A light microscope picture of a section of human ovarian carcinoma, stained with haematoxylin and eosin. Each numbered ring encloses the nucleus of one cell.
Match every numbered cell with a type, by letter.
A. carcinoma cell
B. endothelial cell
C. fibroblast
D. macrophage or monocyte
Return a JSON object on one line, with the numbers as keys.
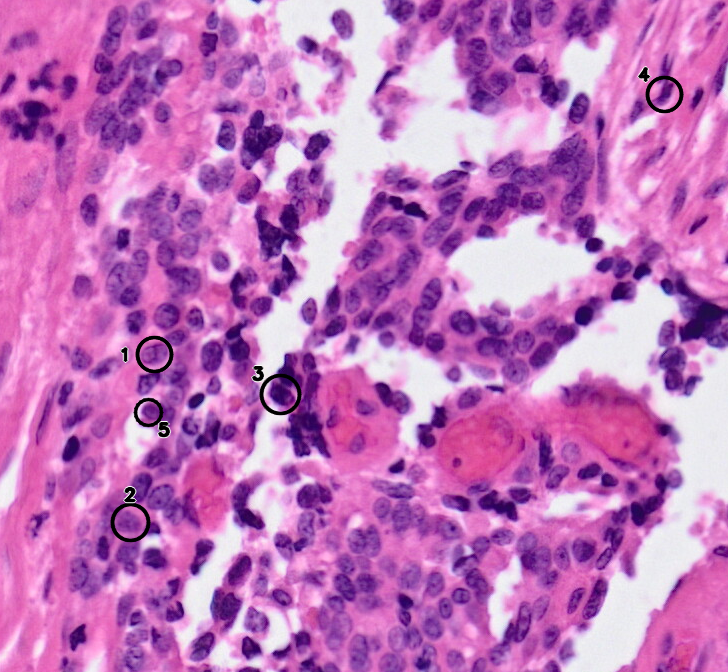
{"1": "D", "2": "A", "3": "A", "4": "C", "5": "A"}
